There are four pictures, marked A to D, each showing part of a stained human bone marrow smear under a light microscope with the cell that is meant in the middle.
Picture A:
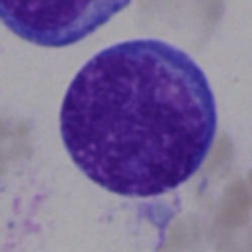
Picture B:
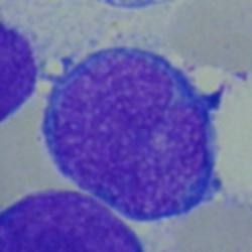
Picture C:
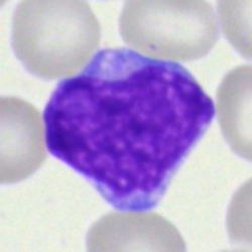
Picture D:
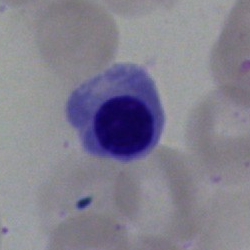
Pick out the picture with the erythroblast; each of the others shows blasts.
D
